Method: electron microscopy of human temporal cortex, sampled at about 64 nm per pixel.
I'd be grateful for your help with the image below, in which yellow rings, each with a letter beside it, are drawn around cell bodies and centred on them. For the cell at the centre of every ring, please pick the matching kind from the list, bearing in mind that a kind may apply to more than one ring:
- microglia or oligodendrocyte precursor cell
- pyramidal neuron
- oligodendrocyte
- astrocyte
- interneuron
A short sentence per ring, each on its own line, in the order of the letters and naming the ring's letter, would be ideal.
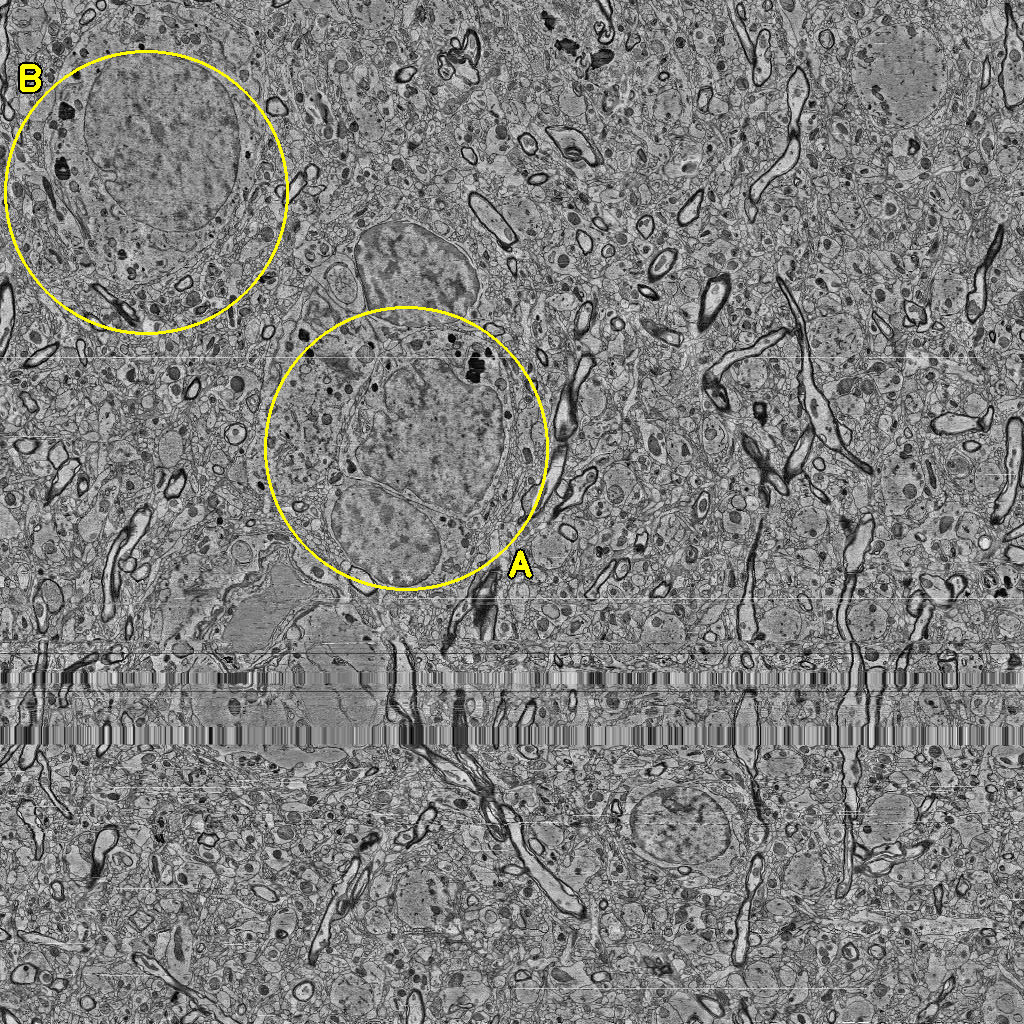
Inside ring A, the central cell is an interneuron.
Inside ring B, the central cell is a pyramidal neuron.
